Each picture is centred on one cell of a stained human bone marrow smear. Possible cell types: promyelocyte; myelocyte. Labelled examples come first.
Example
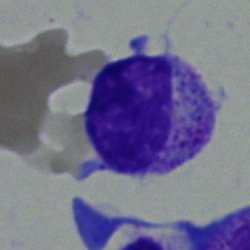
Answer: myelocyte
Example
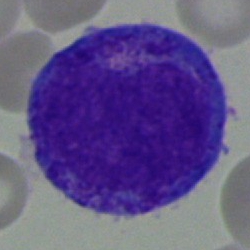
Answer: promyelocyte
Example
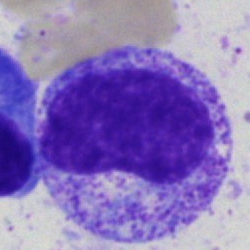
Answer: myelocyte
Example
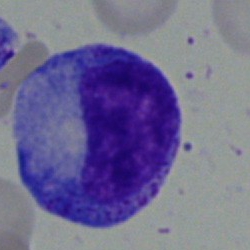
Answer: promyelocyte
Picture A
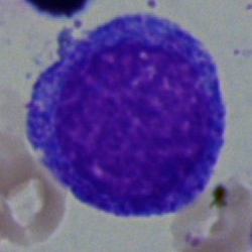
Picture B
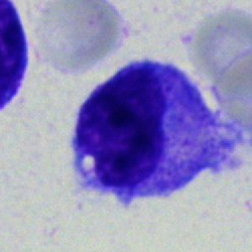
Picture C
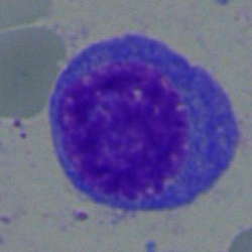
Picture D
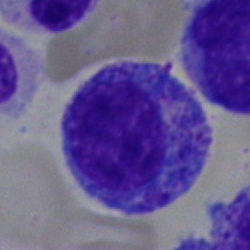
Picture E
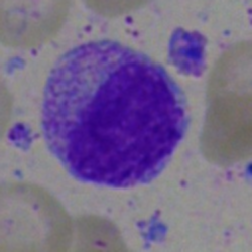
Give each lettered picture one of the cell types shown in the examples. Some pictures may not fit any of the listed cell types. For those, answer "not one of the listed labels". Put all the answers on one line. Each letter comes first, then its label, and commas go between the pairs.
A promyelocyte, B myelocyte, C not one of the listed labels, D promyelocyte, E myelocyte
